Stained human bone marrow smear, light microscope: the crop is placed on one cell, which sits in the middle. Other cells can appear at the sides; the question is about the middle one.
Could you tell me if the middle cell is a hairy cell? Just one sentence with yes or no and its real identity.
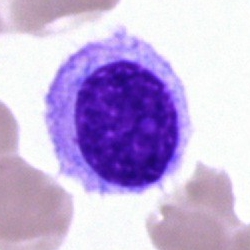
Yes, the cell lying in the centre of the crop is identified as a hairy cell.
